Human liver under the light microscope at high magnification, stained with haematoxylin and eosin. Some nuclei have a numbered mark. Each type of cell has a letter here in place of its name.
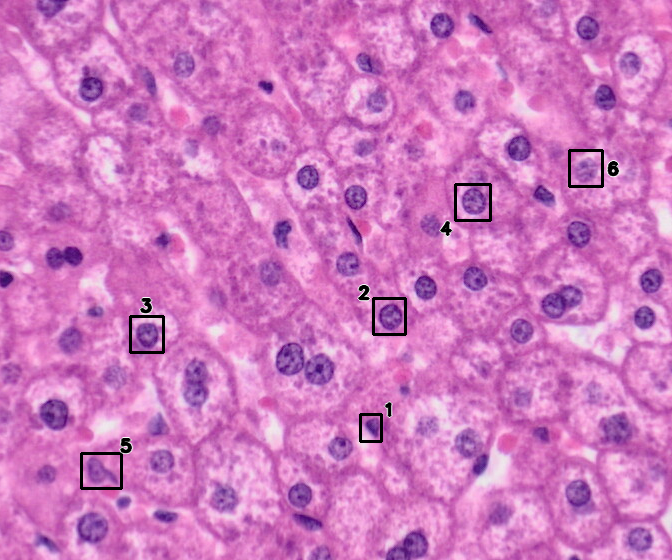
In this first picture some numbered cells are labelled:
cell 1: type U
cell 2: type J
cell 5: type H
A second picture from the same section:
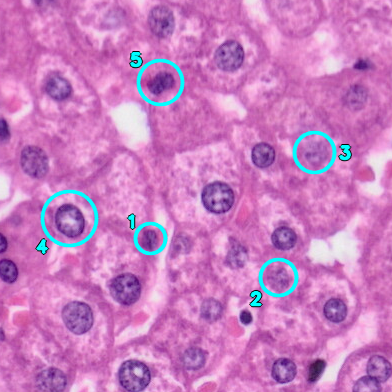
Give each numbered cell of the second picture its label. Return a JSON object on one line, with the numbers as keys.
{"1": "type H", "2": "type J", "3": "type J", "4": "type J", "5": "type U"}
